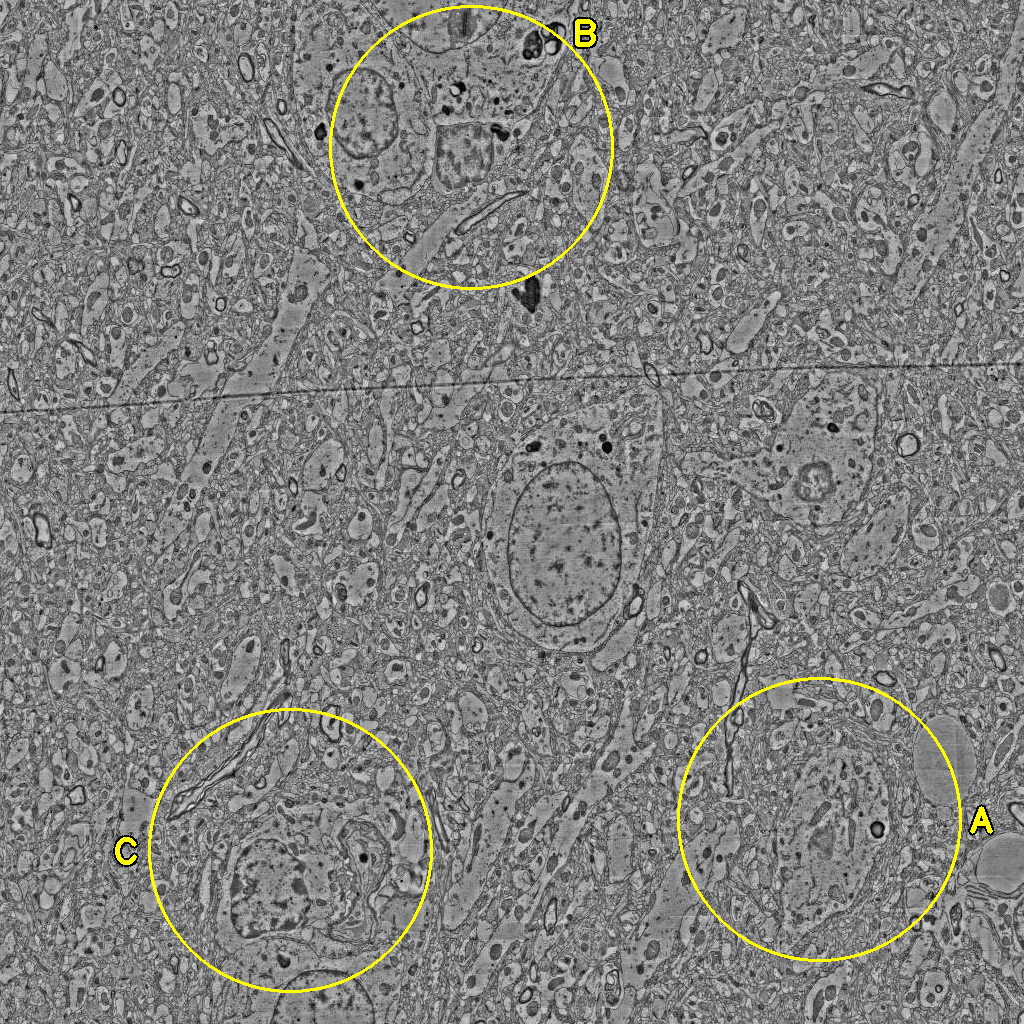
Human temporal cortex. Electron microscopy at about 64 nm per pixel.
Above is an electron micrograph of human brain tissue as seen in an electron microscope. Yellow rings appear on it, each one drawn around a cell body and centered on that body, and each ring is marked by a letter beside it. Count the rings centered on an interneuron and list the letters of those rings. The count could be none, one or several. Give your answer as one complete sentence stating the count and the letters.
No lettered ring is centred on an interneuron, so the number of such rings is zero.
